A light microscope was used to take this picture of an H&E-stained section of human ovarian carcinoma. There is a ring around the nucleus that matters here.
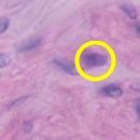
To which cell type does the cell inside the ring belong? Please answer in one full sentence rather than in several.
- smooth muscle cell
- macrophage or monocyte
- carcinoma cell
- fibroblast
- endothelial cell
The cell type of the cell inside the ring is that of a smooth muscle cell.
